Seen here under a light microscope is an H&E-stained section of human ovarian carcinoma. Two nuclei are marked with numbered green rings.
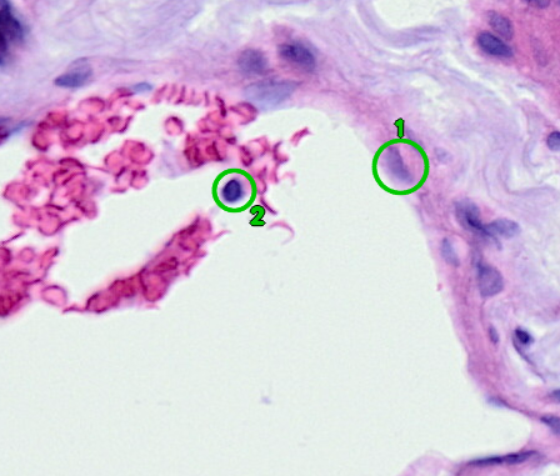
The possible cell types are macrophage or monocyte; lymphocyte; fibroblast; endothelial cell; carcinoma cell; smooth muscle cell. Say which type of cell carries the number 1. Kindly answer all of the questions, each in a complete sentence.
Corresponding to an endothelial cell is the cell labelled 1.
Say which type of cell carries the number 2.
The cell that is numbered 2 is a lymphocyte.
